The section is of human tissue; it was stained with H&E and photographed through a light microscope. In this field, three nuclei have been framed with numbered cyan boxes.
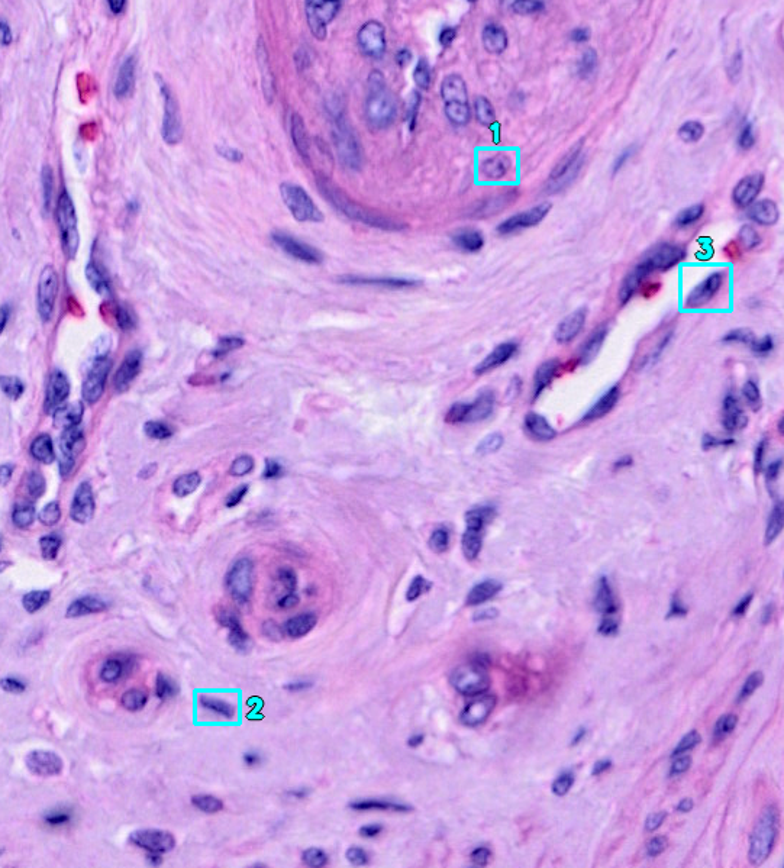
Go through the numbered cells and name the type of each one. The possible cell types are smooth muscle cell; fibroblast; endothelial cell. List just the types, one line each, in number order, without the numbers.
smooth muscle cell
fibroblast
endothelial cell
